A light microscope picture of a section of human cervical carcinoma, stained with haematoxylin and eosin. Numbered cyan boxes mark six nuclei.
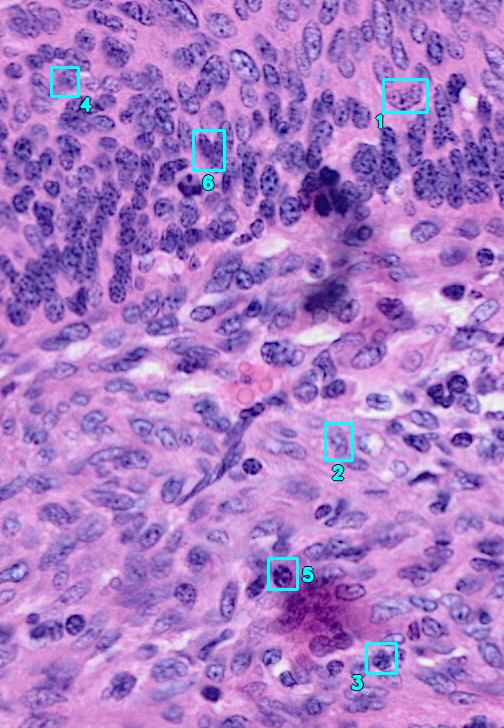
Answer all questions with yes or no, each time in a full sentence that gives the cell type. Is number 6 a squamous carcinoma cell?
Yes, among the marked cells, the one with number 6 is a squamous carcinoma cell.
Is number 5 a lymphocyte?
Yes, as for number 5, the cell is a lymphocyte.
